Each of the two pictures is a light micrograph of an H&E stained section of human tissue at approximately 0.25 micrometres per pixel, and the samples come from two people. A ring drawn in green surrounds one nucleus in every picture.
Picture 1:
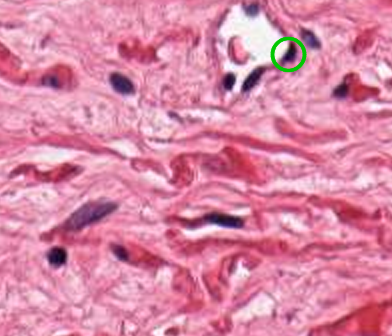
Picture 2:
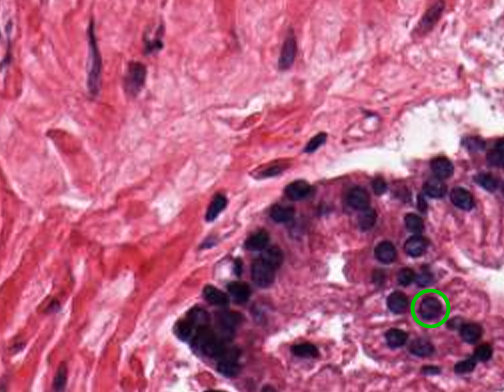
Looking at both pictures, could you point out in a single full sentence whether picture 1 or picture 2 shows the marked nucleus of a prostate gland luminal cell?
The marked nucleus of picture 2 is part of a prostate gland luminal cell.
